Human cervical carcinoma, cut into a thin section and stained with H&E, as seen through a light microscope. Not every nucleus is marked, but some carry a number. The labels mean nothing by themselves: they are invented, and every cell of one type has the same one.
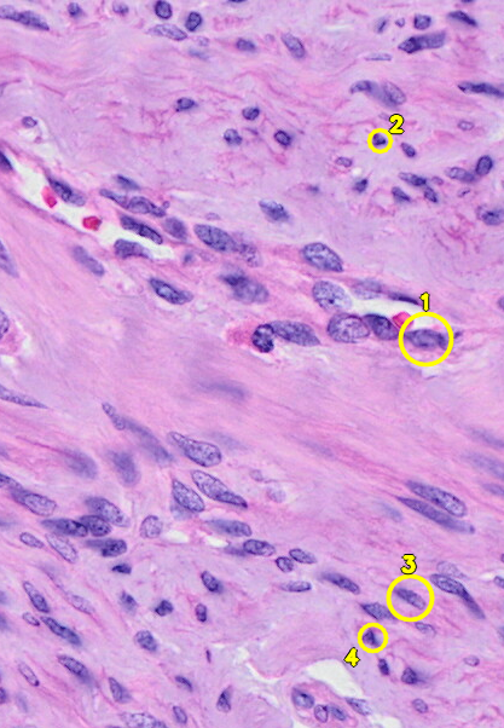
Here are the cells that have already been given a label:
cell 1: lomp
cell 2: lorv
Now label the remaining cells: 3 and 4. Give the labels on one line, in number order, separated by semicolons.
lorv; lorv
